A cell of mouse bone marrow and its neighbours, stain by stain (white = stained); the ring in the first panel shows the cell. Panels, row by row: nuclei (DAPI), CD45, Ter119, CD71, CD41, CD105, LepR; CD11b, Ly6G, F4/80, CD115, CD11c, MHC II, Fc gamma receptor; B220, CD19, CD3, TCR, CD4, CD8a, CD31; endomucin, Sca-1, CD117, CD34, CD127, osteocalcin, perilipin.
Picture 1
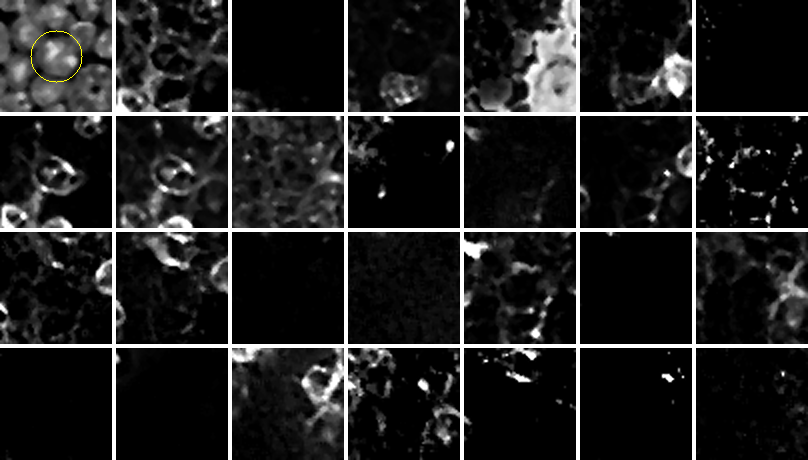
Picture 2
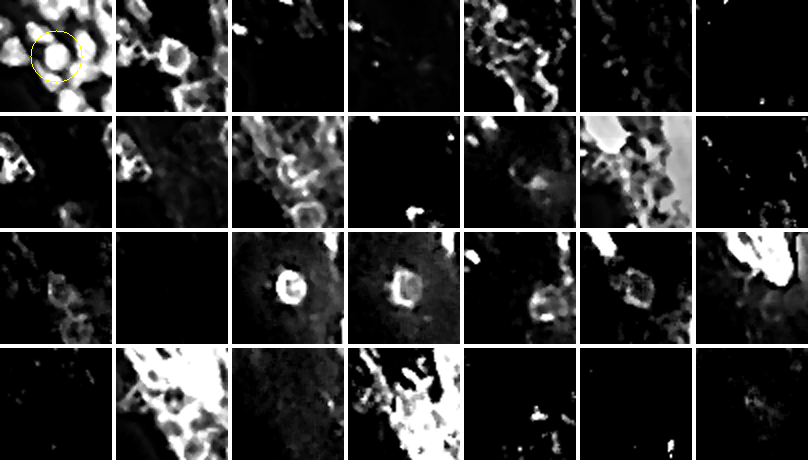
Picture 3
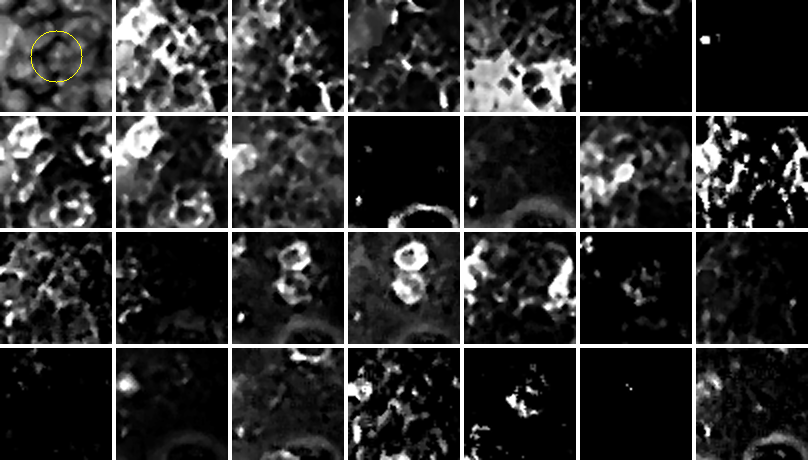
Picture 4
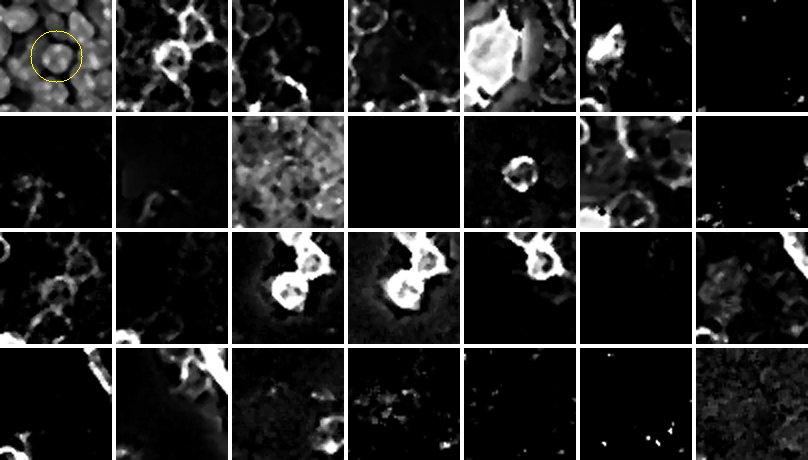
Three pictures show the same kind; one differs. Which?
Picture 1: a neutrophil, while the others are double-negative T cells.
